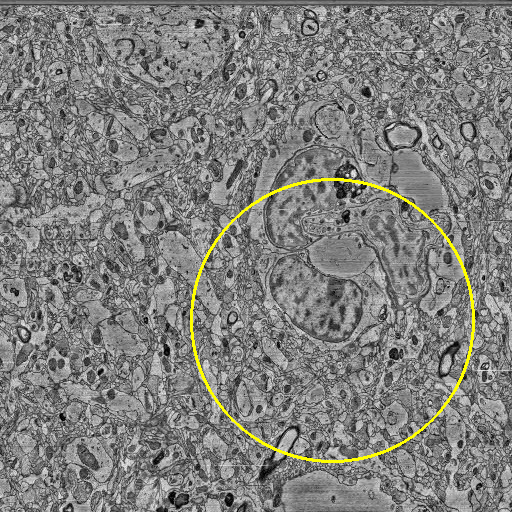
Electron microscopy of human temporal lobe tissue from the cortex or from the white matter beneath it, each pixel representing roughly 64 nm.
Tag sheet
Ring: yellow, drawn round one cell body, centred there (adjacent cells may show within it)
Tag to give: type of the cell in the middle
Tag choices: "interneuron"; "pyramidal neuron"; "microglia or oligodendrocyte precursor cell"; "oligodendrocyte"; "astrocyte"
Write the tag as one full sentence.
I tag the cell centred in the yellow ring as a microglial cell or oligodendrocyte precursor cell in this picture.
